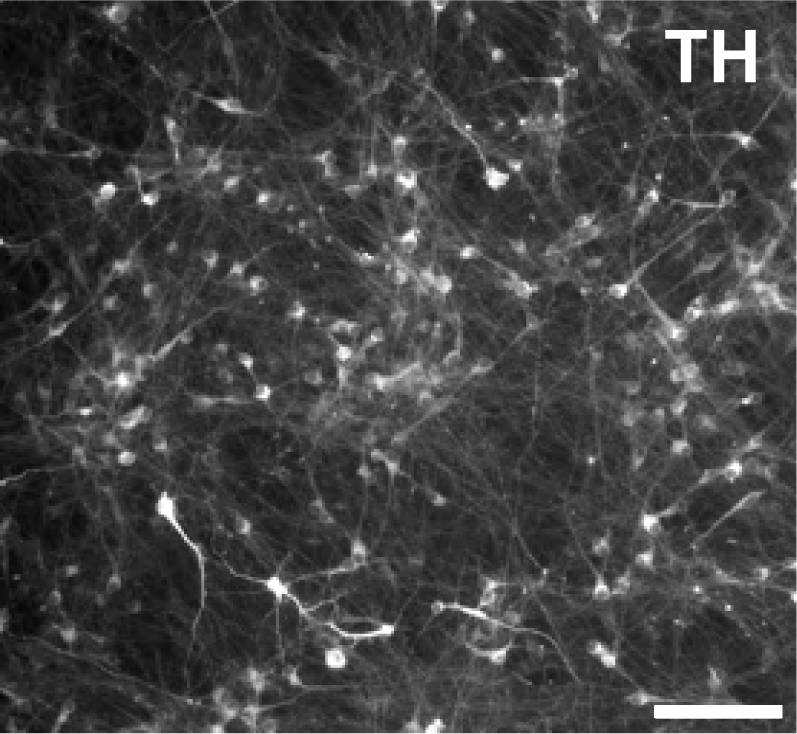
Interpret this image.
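Small, bright, rounded cell bodies are scattered across the field. From them run long, thin processes that branch and cross one another. Together these processes form a fine, felt-like meshwork that fills most of the space between the cell bodies. A few cells toward the lower part of the field stand out with especially bright bodies and clearly traceable branches.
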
